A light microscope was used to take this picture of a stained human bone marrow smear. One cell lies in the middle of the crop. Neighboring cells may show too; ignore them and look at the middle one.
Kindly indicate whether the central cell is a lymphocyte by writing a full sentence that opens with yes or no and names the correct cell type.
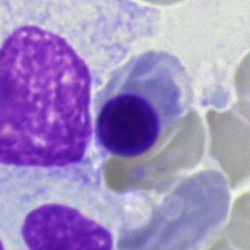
No, it is an erythroblast rather than a lymphocyte that the middle of the crop contains.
